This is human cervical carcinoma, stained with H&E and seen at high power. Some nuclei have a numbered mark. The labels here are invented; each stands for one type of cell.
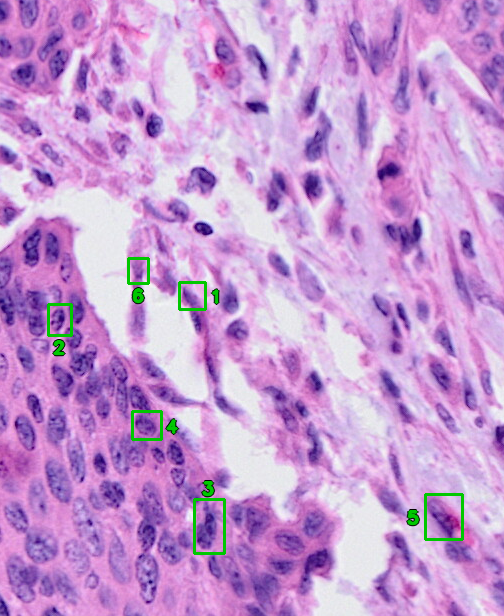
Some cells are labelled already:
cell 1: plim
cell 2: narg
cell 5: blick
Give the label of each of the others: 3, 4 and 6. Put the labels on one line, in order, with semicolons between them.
narg; narg; plim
